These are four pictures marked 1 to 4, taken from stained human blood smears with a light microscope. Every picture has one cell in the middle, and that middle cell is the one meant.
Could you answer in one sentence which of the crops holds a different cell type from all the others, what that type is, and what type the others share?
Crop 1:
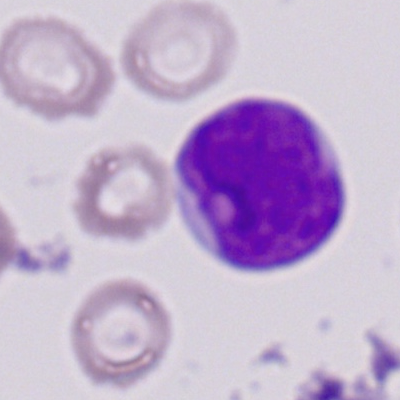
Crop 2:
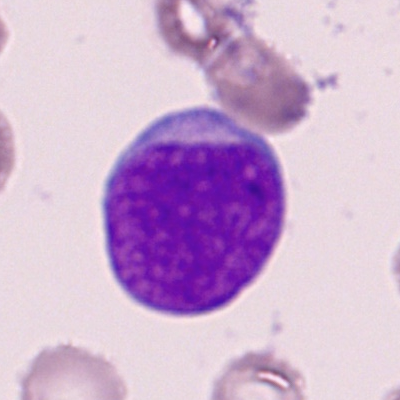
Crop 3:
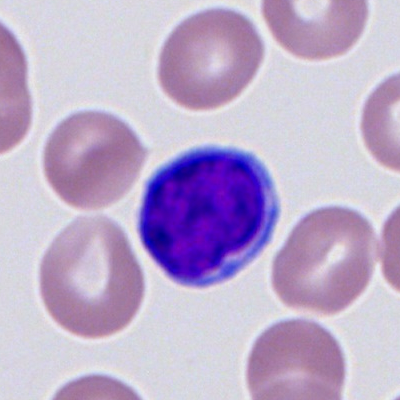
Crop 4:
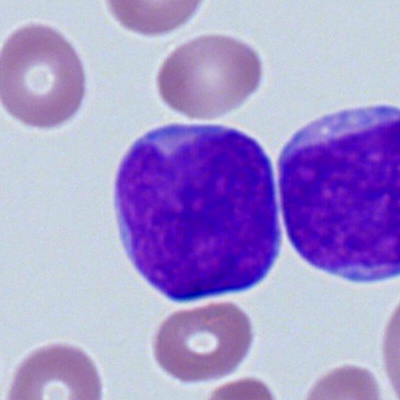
The single exception among the crops is crop 3, which is a lymphocyte; the rest show myeloblasts.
